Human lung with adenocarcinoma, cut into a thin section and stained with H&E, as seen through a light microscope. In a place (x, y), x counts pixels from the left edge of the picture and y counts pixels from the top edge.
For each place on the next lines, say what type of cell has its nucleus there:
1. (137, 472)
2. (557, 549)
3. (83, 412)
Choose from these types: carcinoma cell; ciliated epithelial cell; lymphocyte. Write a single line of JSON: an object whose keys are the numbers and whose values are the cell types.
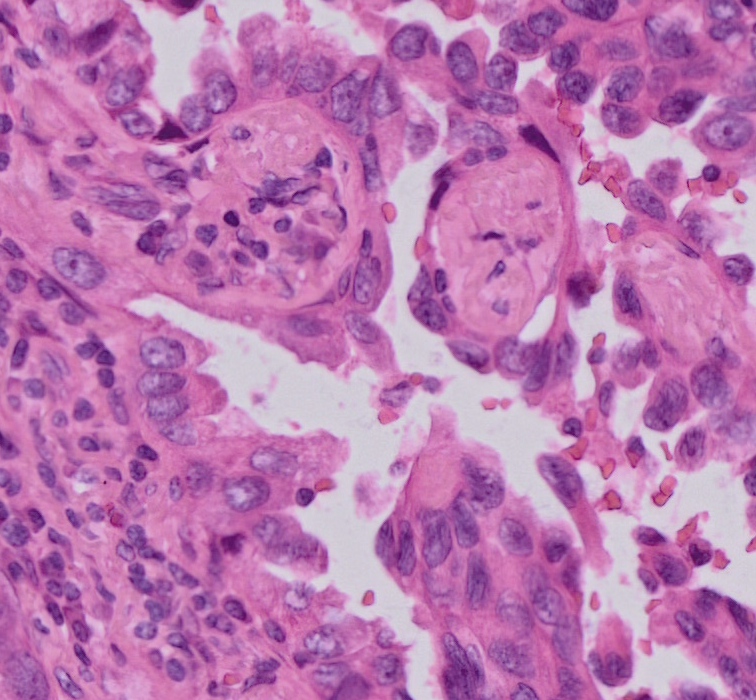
{"1": "lymphocyte", "2": "carcinoma cell", "3": "lymphocyte"}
